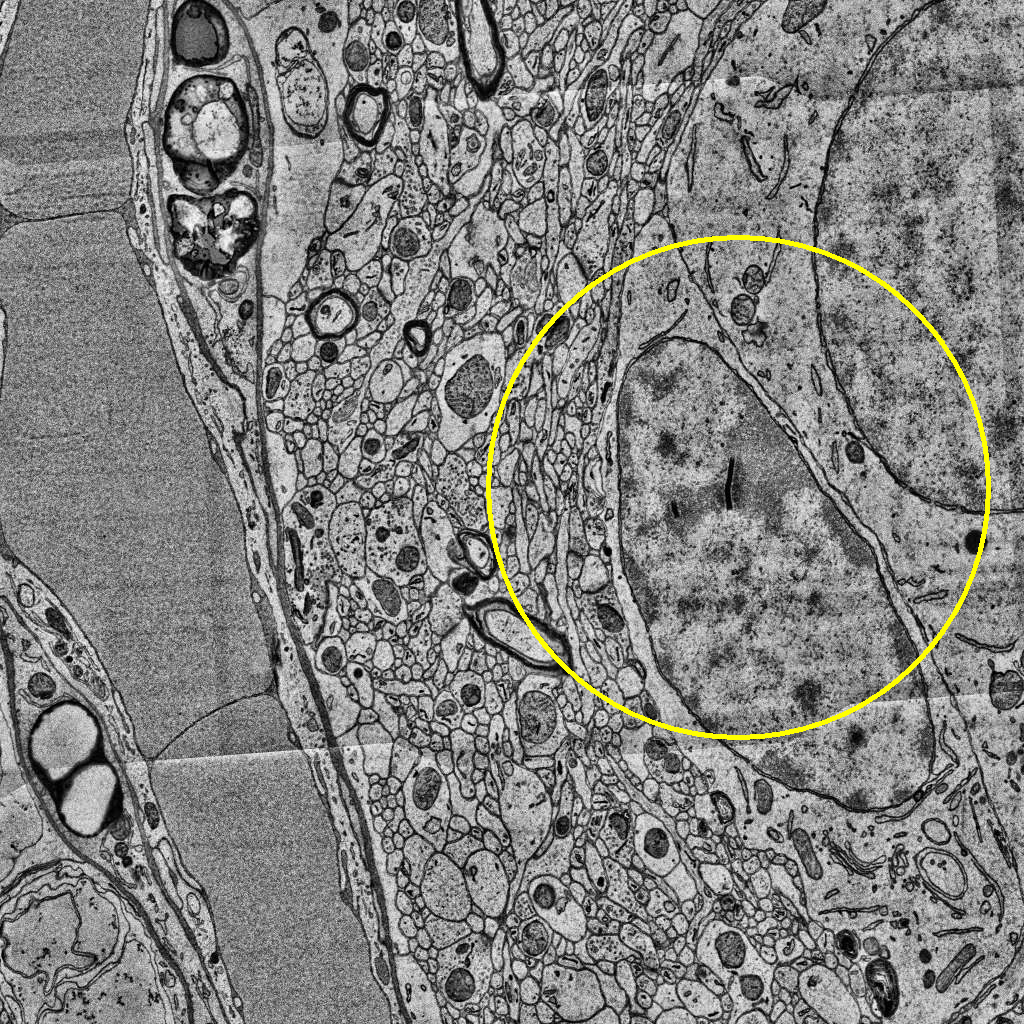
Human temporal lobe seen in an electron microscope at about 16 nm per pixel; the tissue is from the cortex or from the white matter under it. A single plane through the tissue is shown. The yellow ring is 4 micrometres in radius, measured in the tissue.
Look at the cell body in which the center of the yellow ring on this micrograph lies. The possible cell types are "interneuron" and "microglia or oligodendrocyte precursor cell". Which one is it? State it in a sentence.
The cell at the middle of the ring is a microglial cell or oligodendrocyte precursor cell.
